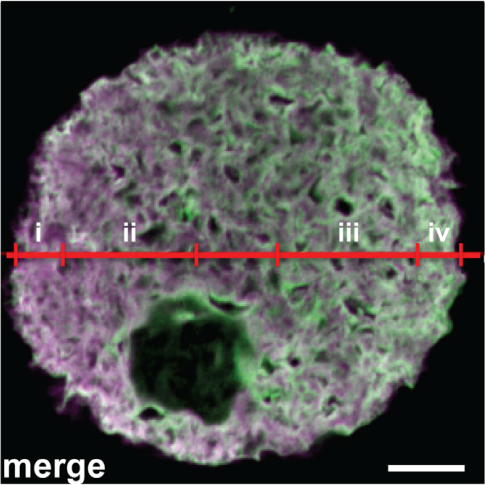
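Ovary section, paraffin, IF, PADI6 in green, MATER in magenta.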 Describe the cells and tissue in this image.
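This is a section through a single large oocyte, a round cell that fills the whole field. The rest of the cell is packed with a dense, coarse meshwork stained in both green and magenta, which overlap to whitish tones in many places. Small dark gaps are scattered through the meshwork, and the staining reaches right out to the rim of the cell.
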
